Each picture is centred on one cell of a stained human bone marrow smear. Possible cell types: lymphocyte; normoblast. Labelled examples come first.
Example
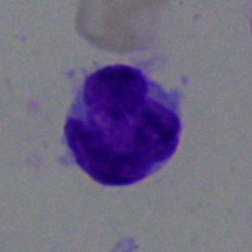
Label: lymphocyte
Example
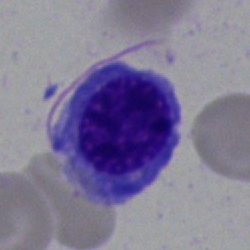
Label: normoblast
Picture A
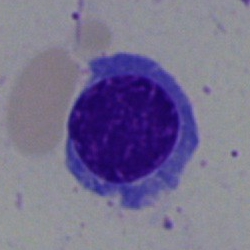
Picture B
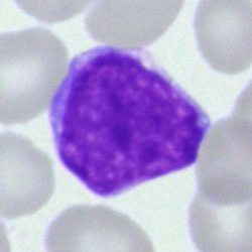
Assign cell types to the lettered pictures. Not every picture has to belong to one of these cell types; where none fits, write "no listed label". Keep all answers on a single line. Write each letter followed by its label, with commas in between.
A normoblast, B no listed label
